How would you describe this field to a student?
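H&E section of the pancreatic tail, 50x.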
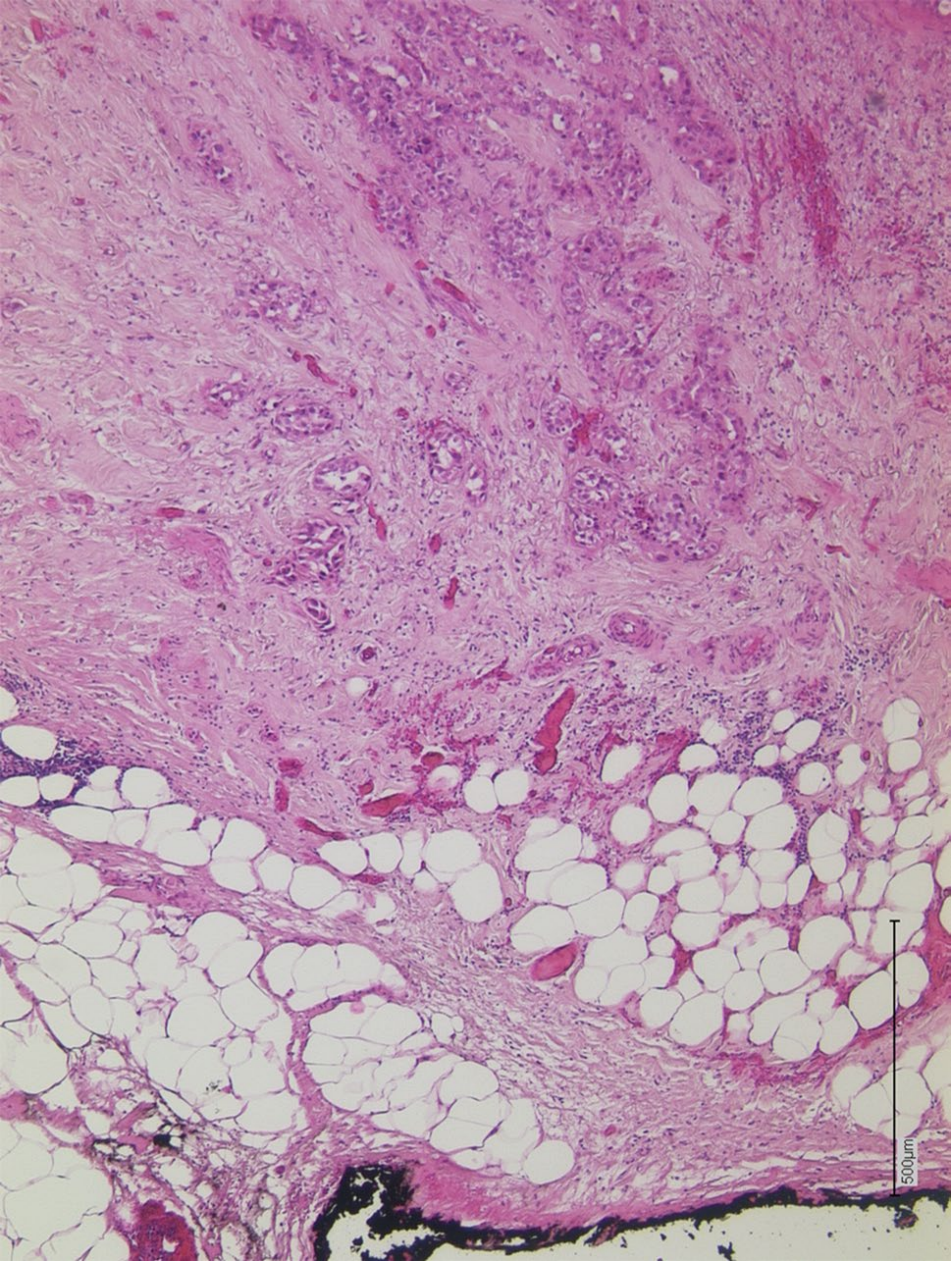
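The glands lie scattered in a dense pink fibrous stroma with streams of spindle cells, small blood vessels and scattered lymphocytes. Below them lies fatty tissue of large clear empty cells divided by thin pink fibrous septa, with bands of denser connective tissue. The outer surface at the bottom is marked by a black ink line, which the glands approach but do not reach.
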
